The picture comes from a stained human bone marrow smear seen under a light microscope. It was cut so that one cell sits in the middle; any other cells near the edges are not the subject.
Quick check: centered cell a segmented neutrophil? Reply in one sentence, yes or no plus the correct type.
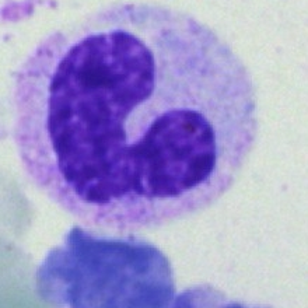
No, in this crop the middle cell is a band neutrophil, not a segmented neutrophil.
